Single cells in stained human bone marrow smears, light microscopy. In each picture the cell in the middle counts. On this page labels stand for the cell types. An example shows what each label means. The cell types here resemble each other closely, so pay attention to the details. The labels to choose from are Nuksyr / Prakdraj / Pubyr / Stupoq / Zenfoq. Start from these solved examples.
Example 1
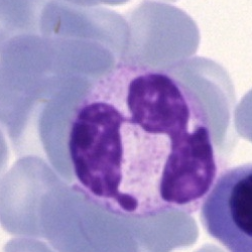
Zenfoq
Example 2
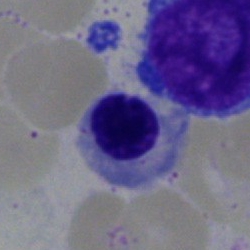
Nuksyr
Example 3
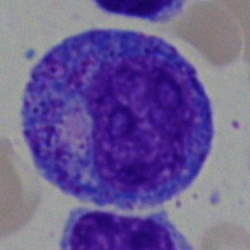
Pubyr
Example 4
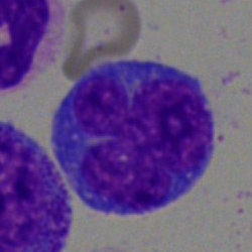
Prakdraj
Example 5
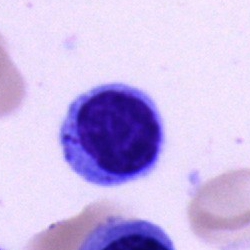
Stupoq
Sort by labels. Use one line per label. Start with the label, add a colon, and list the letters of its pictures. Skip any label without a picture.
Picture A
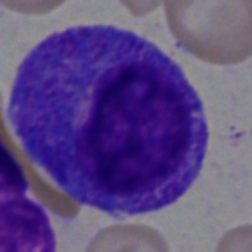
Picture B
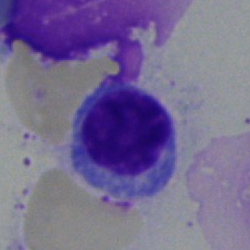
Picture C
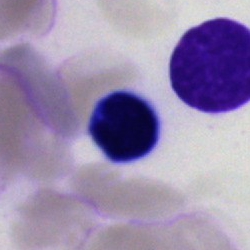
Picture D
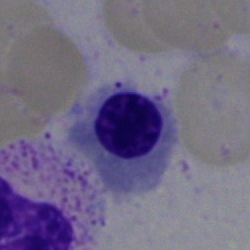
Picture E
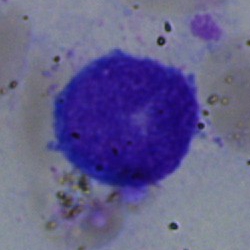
Nuksyr: D
Prakdraj: E
Pubyr: A
Stupoq: B, C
